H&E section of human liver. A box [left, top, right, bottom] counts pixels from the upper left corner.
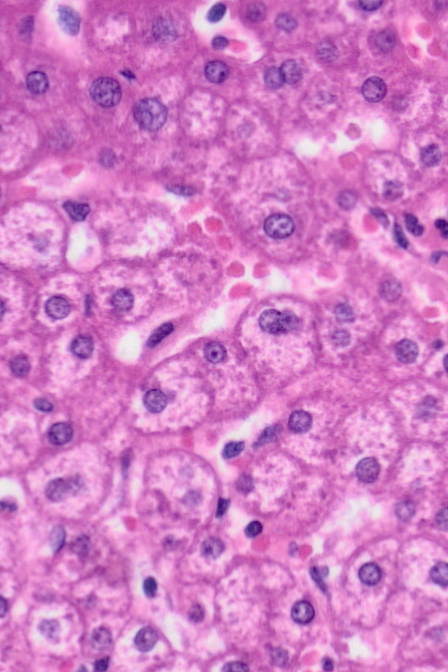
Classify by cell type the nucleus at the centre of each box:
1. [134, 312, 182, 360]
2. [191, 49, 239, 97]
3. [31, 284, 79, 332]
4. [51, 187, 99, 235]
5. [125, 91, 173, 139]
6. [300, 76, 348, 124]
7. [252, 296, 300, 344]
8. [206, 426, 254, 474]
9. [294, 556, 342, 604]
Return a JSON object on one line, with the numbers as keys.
{"1": "Kupffer cell", "2": "hepatocyte", "3": "hepatocyte", "4": "fibroblast or stellate cell", "5": "hepatocyte", "6": "hepatocyte", "7": "hepatocyte", "8": "lymphocyte", "9": "Kupffer cell"}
